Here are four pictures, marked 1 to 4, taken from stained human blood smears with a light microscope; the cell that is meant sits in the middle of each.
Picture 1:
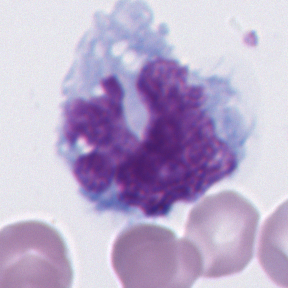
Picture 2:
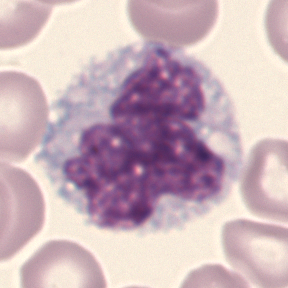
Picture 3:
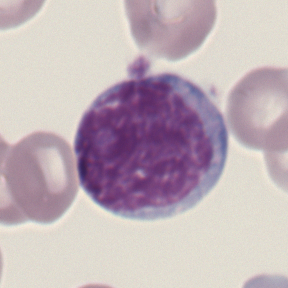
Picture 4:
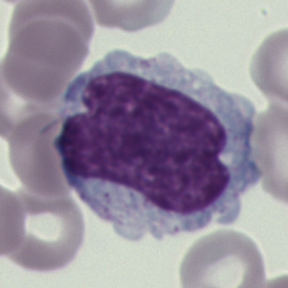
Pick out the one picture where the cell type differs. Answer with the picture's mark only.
3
